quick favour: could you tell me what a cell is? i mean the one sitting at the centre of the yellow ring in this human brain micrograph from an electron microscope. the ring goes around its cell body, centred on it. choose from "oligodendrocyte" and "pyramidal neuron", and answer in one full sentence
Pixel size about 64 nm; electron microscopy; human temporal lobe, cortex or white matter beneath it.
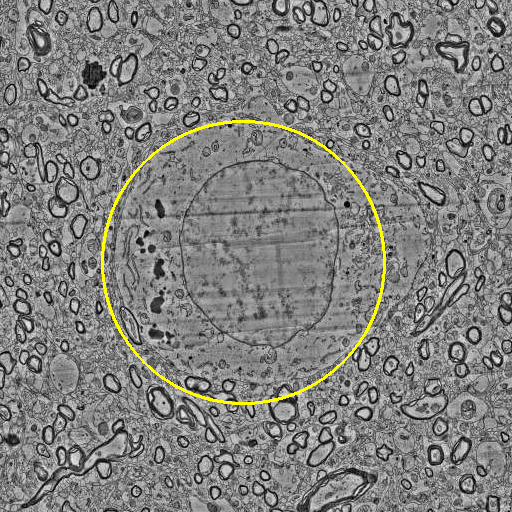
That's a pyramidal neuron, the cell sitting at the centre of the yellow ring.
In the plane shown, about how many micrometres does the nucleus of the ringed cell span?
Approximately 11 micrometres across, in this plane.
